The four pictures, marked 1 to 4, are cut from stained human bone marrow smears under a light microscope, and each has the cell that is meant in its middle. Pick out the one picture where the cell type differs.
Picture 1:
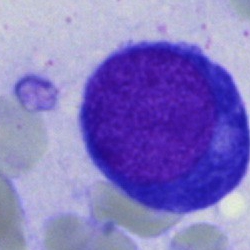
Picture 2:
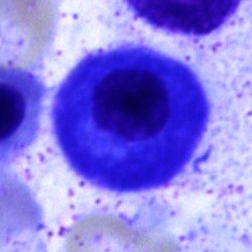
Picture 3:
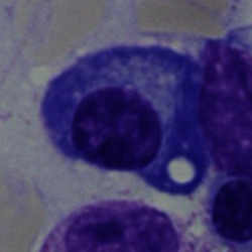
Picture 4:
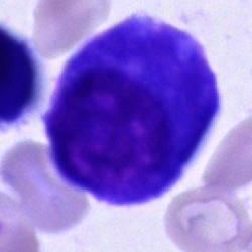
1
